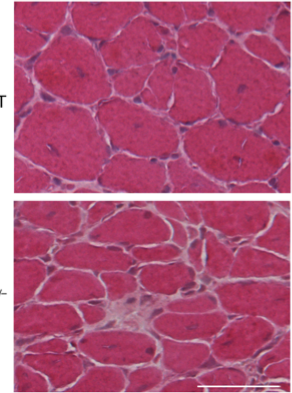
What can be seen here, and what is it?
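The fibers' cytoplasm stains evenly pink, and small purple nuclei lie mostly at their edges, with a few sitting inside the fiber. Thin pale strands of connective tissue separate neighbouring fibers. In the upper image the fibers are fairly large and closely packed. In the lower image the fibers look smaller and more uneven in size, and there are wider pale areas of interstitial tissue between them.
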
